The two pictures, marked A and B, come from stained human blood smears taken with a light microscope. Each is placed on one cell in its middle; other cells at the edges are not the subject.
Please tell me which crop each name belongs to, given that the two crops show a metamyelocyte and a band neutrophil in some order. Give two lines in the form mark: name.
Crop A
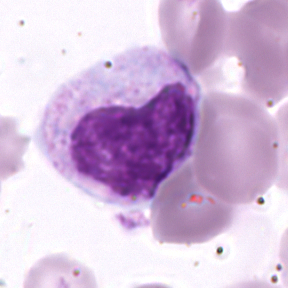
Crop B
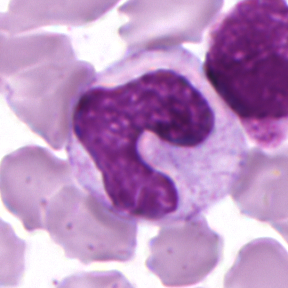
A: metamyelocyte
B: band neutrophil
